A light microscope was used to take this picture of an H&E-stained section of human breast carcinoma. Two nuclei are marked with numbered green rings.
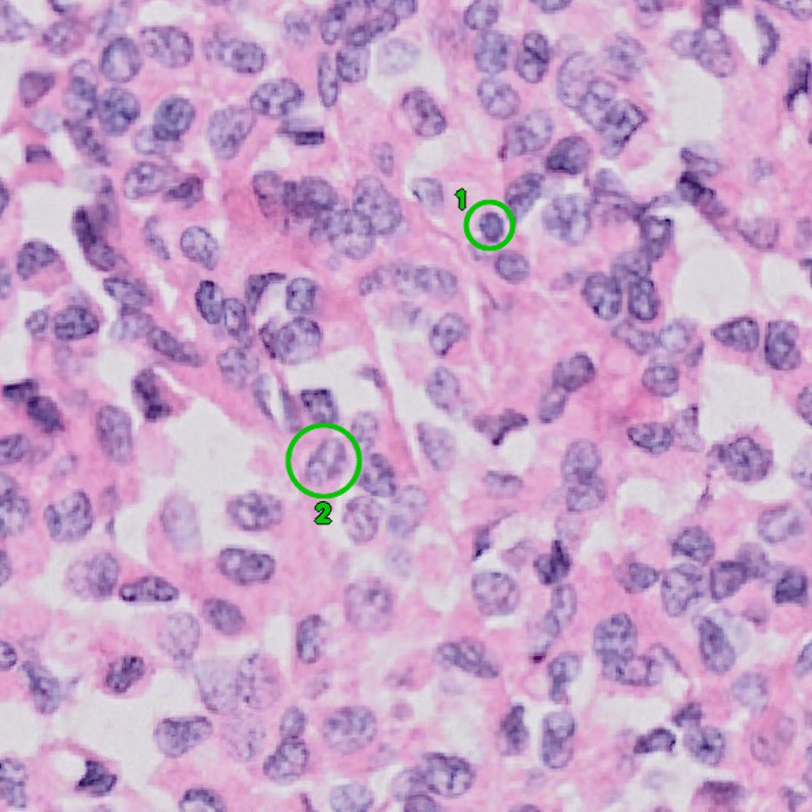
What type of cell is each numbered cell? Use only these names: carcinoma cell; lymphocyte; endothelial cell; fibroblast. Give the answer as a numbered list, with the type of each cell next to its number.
1. lymphocyte
2. carcinoma cell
